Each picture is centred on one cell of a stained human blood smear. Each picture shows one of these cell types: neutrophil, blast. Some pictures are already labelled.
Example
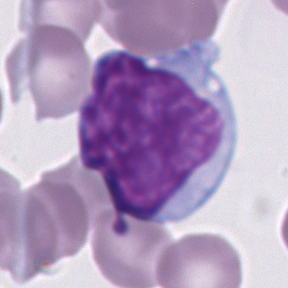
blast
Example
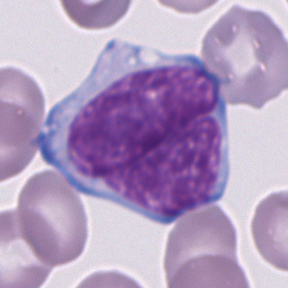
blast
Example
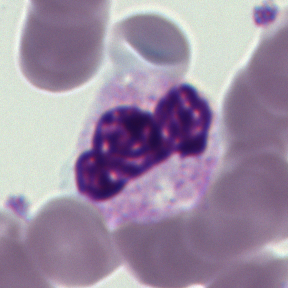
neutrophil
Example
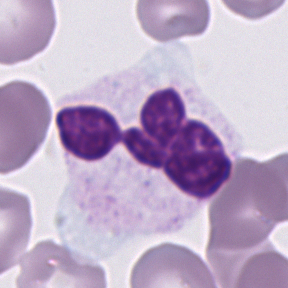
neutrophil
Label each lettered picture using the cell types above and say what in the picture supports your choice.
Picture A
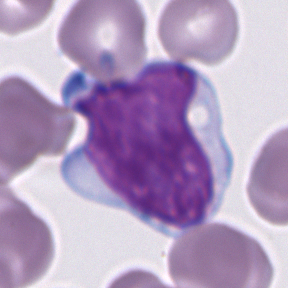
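Answer: blast. The nucleus fills most of the cell.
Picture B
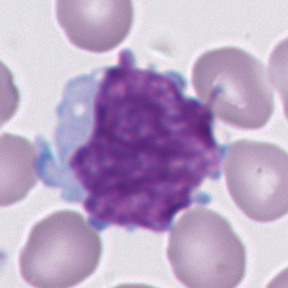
Answer: blast. The nucleus fills most of the cell and has an irregular, angular outline.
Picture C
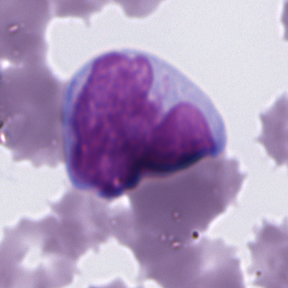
Answer: blast. The nucleus fills most of the cell.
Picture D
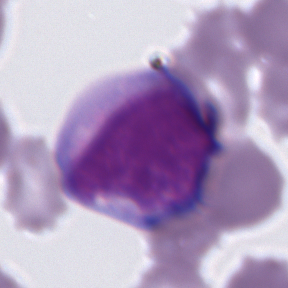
Answer: blast. The nucleus fills most of the cell and is pushed toward the lower right.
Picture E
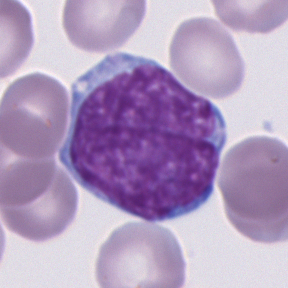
Answer: blast. The cytoplasm forms only a narrow rim around the nucleus.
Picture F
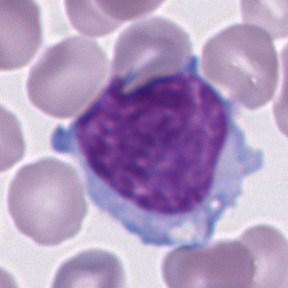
Answer: blast. The nucleus fills most of the cell.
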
